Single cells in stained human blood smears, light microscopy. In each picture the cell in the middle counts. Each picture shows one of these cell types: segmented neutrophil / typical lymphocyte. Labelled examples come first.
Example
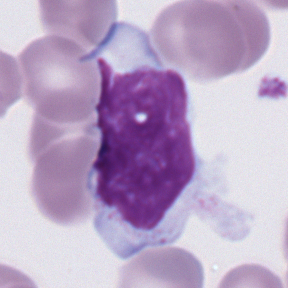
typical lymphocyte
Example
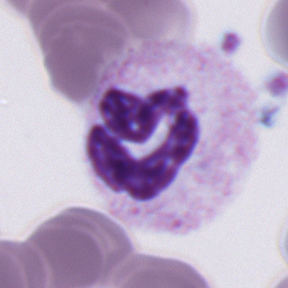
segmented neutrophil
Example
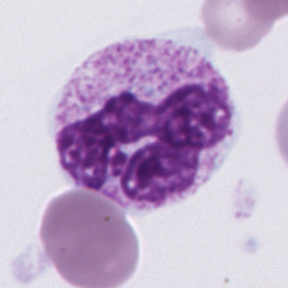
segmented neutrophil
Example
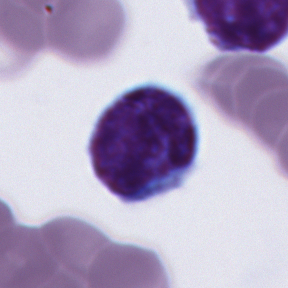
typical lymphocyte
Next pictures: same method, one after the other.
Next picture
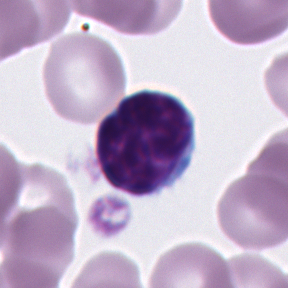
typical lymphocyte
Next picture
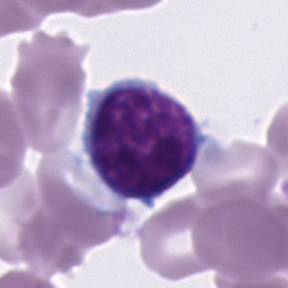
typical lymphocyte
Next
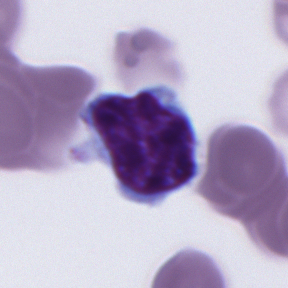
typical lymphocyte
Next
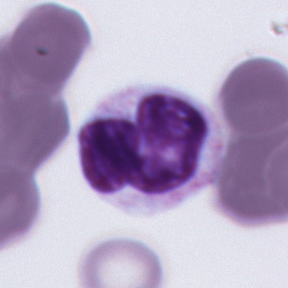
segmented neutrophil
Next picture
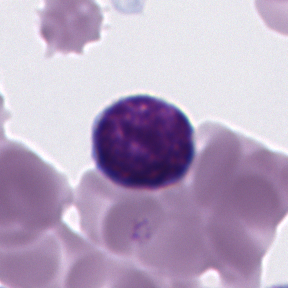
typical lymphocyte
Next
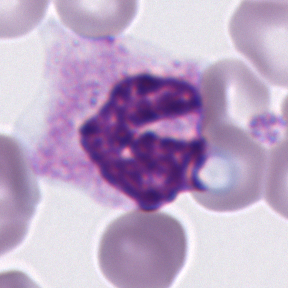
segmented neutrophil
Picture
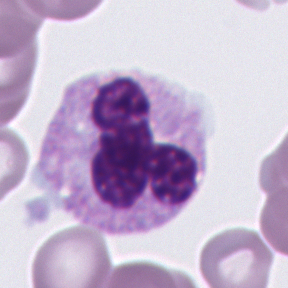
segmented neutrophil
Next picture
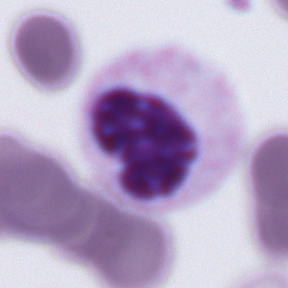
segmented neutrophil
